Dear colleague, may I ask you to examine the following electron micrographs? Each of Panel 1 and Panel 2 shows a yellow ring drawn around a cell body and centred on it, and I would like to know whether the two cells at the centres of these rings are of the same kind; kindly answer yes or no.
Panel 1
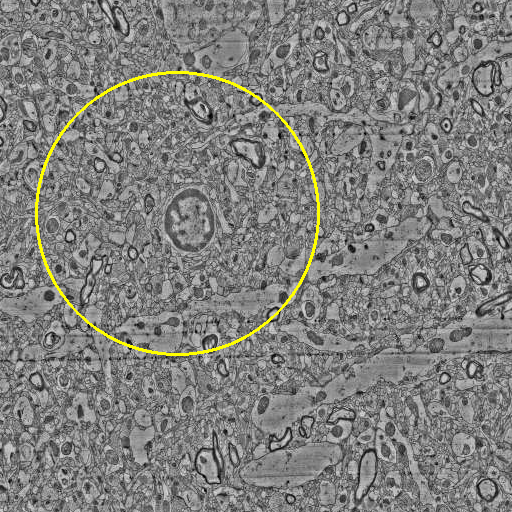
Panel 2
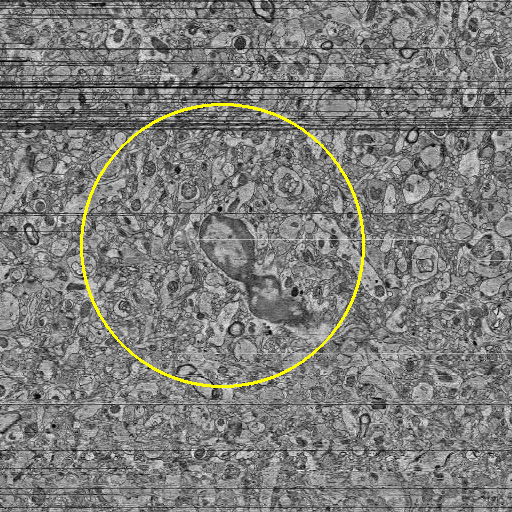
yes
